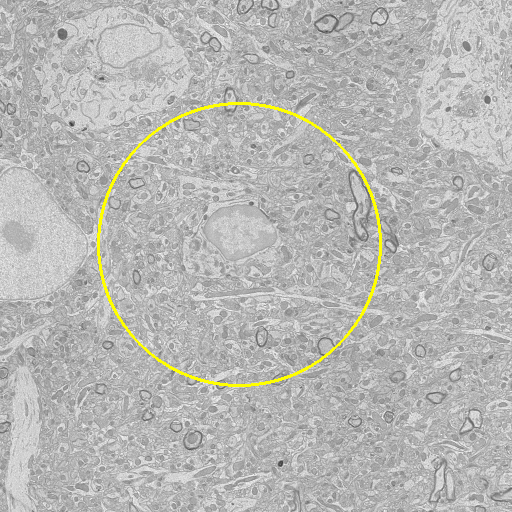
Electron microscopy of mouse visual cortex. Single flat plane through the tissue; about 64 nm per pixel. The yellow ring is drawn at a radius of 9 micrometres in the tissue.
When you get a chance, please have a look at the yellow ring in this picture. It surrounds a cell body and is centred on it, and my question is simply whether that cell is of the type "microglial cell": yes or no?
Yes, the cell is of that type.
